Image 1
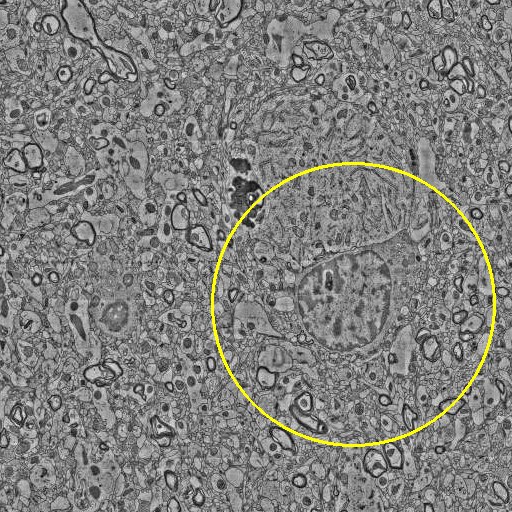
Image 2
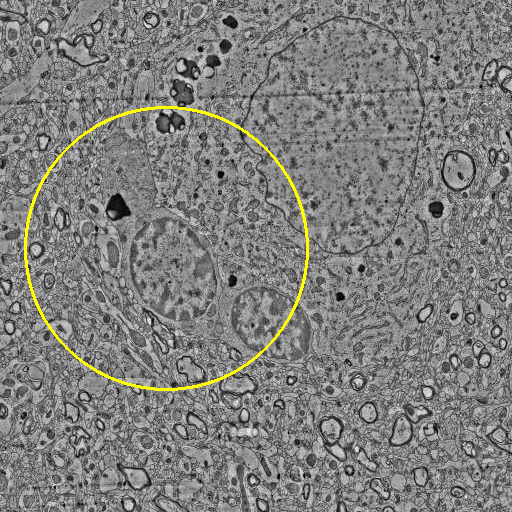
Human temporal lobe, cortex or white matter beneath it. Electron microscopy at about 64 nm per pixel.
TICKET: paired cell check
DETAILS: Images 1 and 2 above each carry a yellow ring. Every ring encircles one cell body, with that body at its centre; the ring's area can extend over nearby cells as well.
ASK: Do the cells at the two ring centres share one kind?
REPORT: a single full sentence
Yes, the ring-centre cells of Images 1 and 2 belong to a single kind.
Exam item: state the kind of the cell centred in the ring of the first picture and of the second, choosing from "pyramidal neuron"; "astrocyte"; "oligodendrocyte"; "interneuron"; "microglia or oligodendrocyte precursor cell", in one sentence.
Each cell, in the first picture and the second, is an oligodendrocyte.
